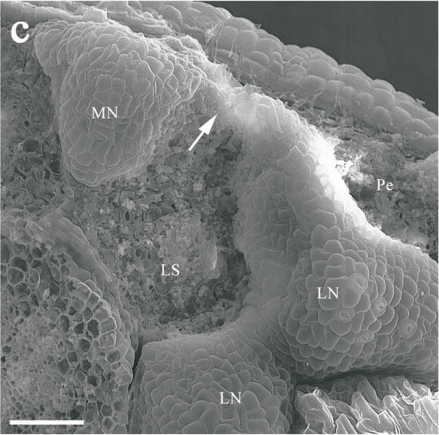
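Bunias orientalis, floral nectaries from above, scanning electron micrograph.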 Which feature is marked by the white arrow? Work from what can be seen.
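The arrow points to a narrow ridge of small cells joining two raised lobes of tissue. The answer: narrow band of nectarial tissue.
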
